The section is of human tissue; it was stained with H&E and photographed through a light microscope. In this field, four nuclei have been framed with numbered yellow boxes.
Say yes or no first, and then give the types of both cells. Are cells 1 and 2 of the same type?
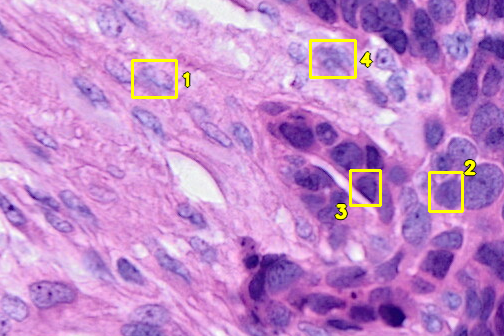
No, the cell bearing number 1 is a fibroblast, while the one bearing number 2 is a carcinoma cell.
